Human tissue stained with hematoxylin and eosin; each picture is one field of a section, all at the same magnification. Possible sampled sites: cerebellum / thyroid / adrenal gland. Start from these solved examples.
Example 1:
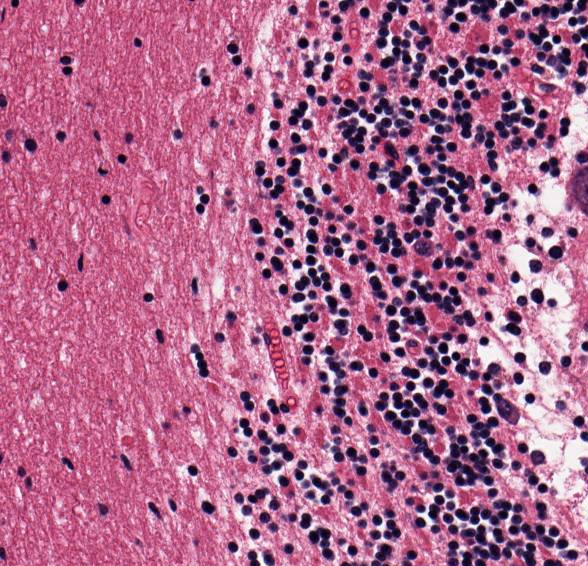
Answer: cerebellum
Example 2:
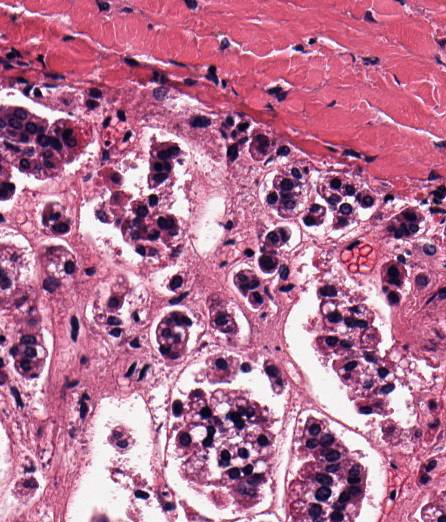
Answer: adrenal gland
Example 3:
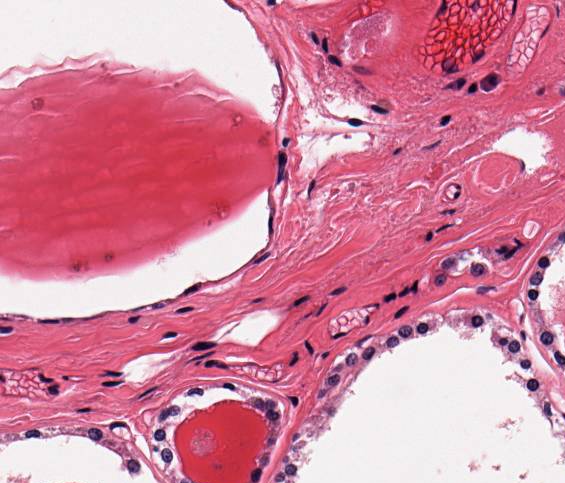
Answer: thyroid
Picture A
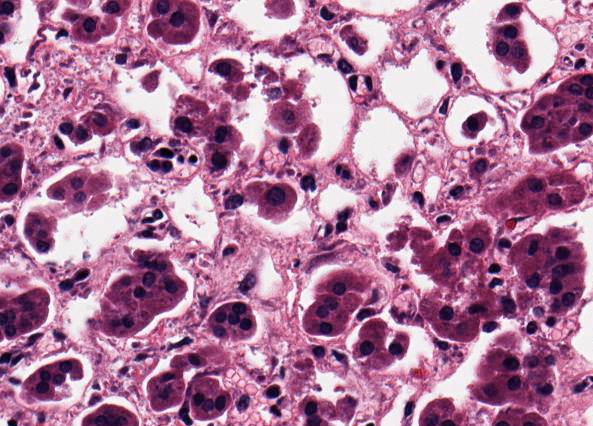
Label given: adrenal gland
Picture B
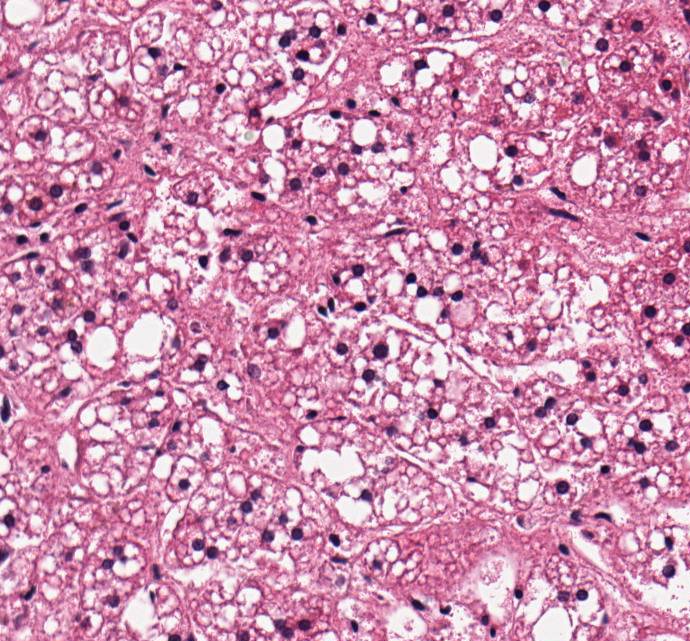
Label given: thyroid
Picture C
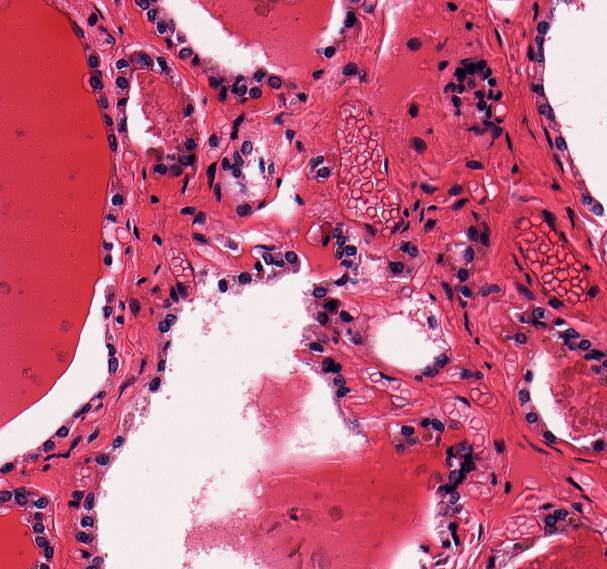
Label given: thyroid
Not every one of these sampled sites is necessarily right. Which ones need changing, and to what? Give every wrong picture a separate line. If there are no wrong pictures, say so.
Wrong: B (thyroid); correct: adrenal gland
